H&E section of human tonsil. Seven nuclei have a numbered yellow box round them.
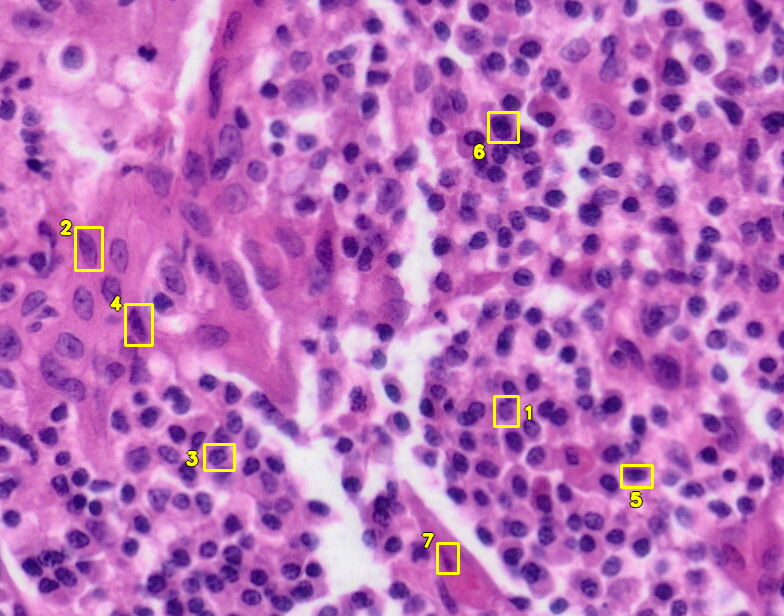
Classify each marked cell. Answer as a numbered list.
1. plasma cell
2. squamous epithelial cell
3. plasma cell
4. squamous epithelial cell
5. plasma cell
6. plasma cell
7. squamous epithelial cell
